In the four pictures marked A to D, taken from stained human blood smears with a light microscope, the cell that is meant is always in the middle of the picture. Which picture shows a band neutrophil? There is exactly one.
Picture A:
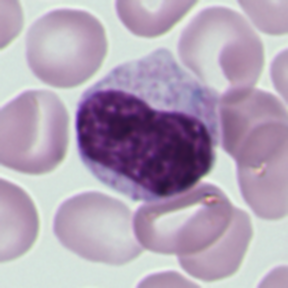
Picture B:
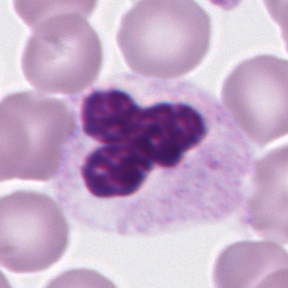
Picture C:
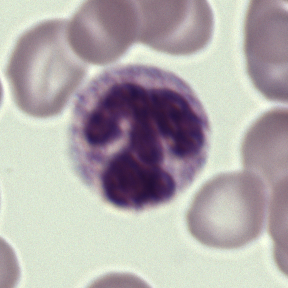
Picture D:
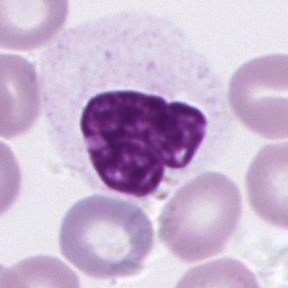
A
